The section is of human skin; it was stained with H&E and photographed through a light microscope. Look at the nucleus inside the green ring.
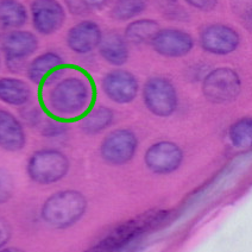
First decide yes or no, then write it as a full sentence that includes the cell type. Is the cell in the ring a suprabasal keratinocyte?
Yes, the cell in the ring is a suprabasal keratinocyte; nothing to add.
